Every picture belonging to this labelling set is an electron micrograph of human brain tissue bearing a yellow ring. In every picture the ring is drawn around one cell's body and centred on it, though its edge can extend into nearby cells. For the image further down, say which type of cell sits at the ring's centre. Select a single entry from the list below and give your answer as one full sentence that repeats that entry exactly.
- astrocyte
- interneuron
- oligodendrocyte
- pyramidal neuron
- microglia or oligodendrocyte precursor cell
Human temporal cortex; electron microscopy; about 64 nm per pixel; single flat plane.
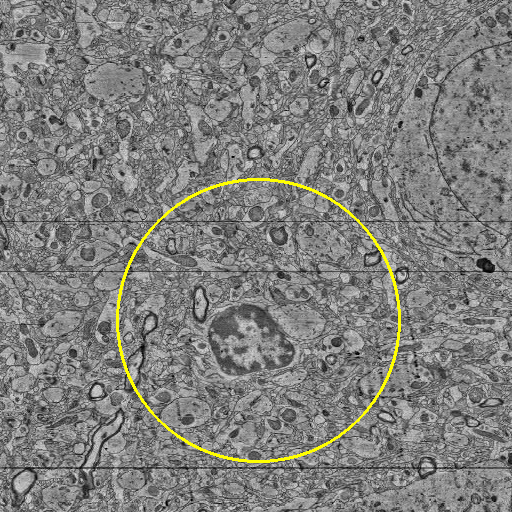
In the picture, a microglial cell or oligodendrocyte precursor cell is the cell at the centre of the yellow ring.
